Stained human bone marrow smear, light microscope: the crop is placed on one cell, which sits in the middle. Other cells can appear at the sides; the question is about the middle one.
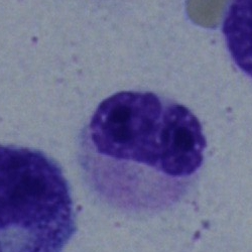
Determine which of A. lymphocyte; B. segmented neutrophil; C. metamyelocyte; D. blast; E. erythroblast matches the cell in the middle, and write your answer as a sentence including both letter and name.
In this crop the central cell is a segmented neutrophil, which option B correctly states.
